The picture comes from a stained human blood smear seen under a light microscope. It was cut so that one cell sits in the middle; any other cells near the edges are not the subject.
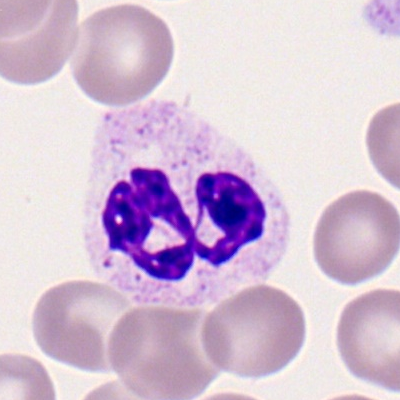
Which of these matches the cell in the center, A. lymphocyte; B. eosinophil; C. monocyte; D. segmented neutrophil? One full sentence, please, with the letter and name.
Seen at the centre of the crop is a segmented neutrophil, so option D is correct.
